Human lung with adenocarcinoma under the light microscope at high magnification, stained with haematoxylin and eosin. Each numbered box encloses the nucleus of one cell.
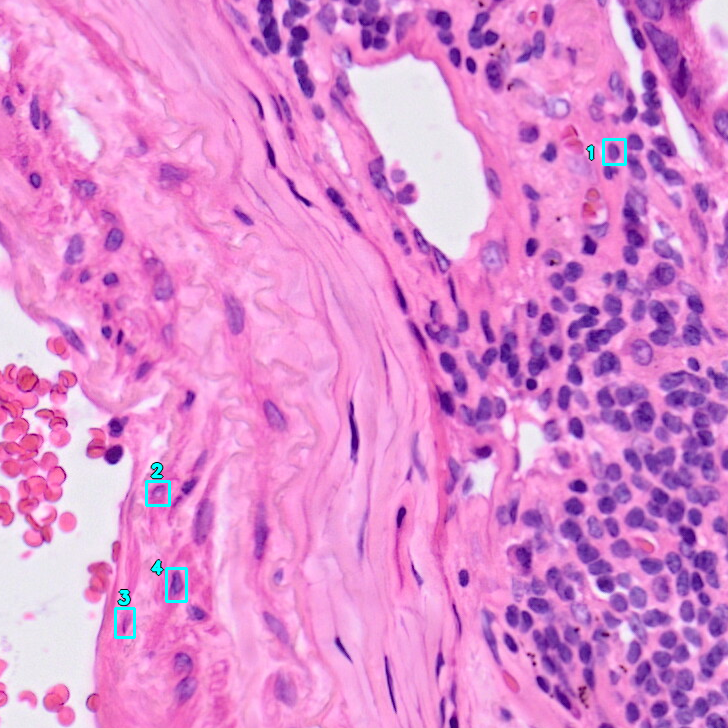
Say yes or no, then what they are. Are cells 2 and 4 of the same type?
Yes, both are smooth muscle cells or pericytes.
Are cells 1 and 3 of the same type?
No, cell 1 is a lymphocyte and cell 3 is a smooth muscle cell or pericyte.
